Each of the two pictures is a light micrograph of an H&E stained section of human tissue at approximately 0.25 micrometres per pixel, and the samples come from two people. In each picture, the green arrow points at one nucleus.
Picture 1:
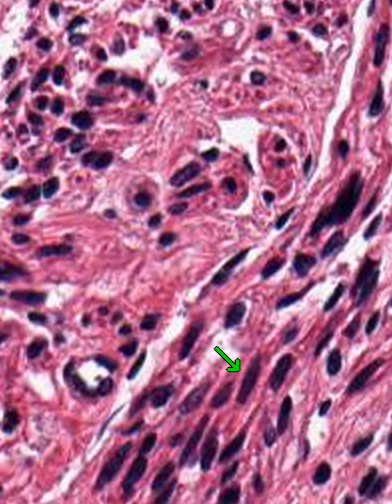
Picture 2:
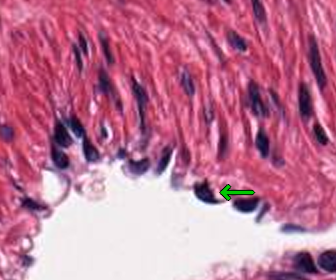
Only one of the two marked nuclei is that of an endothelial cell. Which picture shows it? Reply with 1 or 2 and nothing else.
2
